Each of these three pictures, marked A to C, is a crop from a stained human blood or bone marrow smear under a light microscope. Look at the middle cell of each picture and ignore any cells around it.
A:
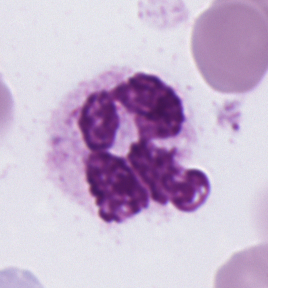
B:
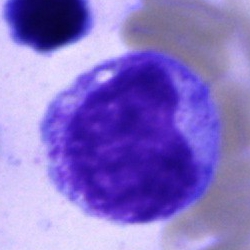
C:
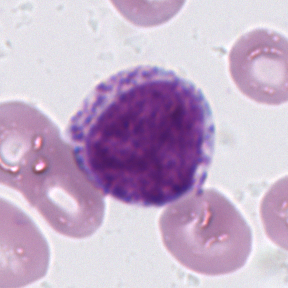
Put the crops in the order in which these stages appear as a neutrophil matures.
B, C, A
